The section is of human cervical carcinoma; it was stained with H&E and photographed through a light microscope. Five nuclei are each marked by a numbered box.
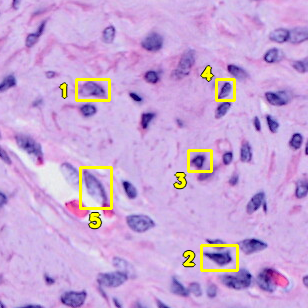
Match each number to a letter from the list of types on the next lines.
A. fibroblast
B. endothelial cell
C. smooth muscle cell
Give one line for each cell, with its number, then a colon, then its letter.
1: C
2: A
3: C
4: A
5: B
